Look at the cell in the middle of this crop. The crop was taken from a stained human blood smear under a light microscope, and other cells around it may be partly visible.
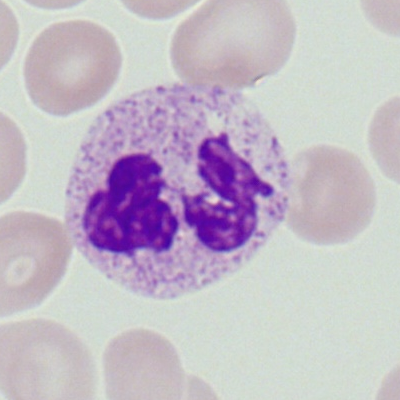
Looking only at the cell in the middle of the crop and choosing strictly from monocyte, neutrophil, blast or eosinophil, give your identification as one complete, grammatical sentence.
The crop's centre is taken up by a neutrophil.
